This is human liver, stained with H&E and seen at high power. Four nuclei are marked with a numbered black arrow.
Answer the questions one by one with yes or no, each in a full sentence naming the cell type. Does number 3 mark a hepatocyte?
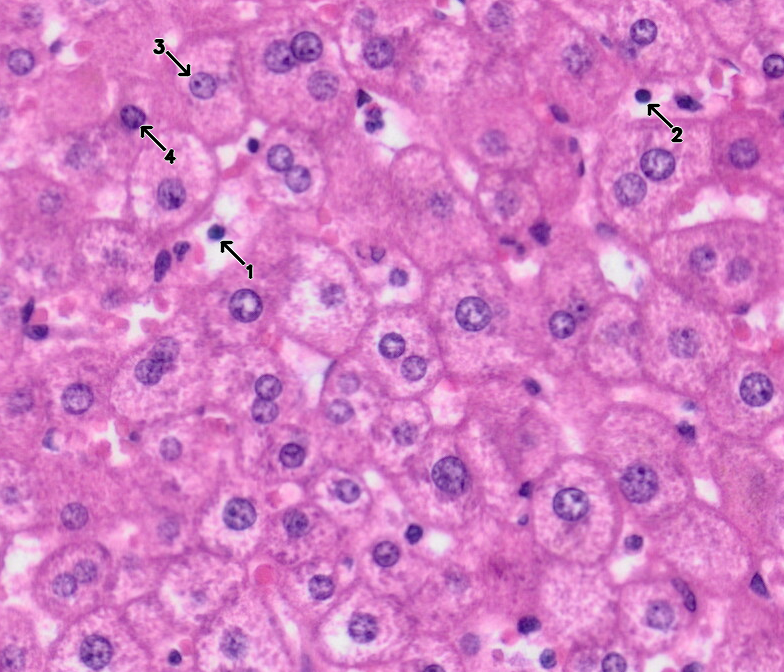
Yes, the cell labelled with number 3 is a hepatocyte.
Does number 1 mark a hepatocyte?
No, calling cell 1 a hepatocyte is a mistake; it is a lymphocyte.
